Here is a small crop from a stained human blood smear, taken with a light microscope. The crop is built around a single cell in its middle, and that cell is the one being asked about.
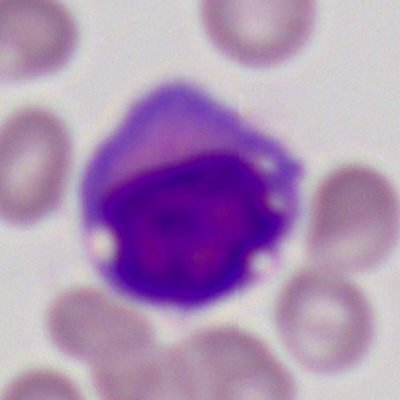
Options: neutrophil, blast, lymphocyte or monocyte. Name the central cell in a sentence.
The cell at the middle of the crop is recognized as a blast.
